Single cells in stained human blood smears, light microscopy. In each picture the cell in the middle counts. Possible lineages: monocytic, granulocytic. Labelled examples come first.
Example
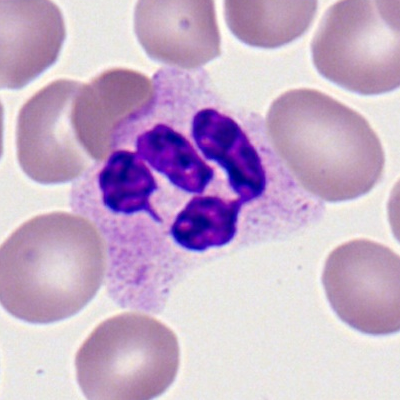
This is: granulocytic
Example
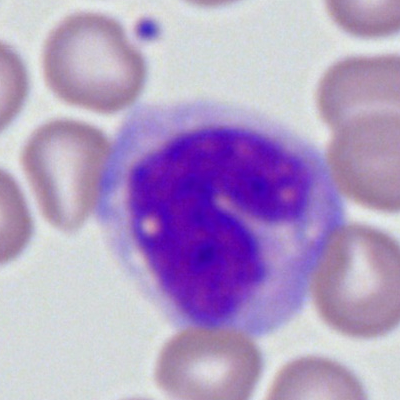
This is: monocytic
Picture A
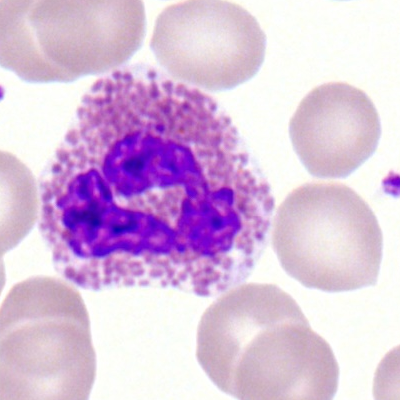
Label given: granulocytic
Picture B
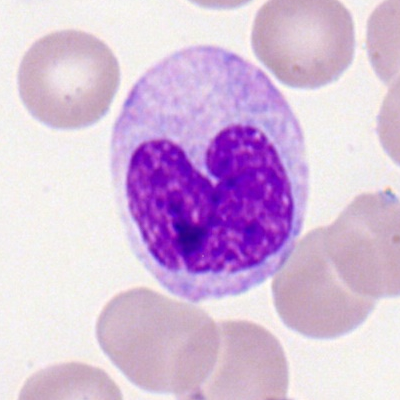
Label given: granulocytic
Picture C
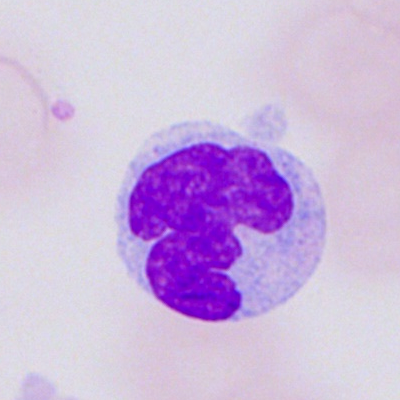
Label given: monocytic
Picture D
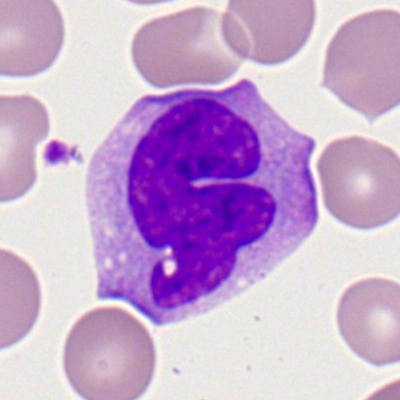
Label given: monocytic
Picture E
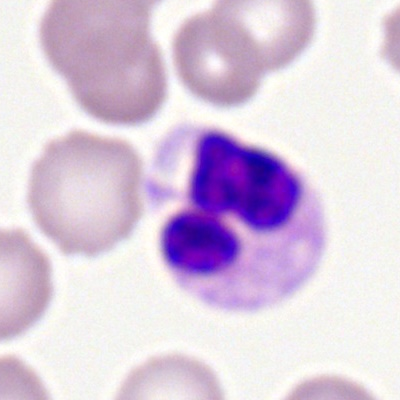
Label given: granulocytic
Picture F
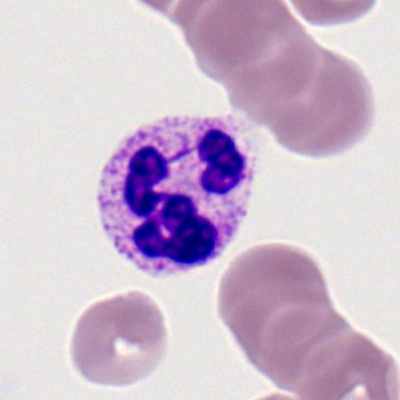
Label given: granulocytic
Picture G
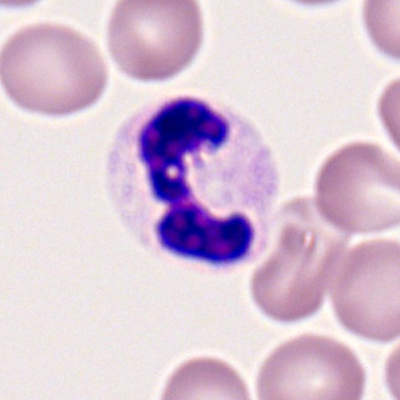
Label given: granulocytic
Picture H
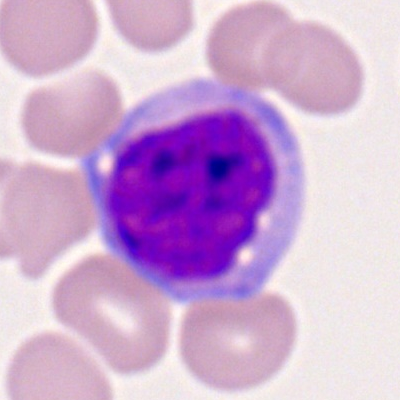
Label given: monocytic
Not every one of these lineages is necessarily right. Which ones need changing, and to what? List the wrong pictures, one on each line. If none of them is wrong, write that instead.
B: not granulocytic but monocytic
